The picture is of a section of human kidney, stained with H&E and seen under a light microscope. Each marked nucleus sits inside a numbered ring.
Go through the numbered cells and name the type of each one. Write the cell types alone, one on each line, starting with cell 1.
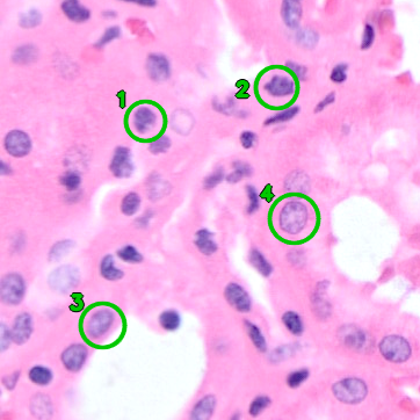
collecting duct cell
collecting duct cell
loop of Henle or distal tubule cell
proximal tubule cell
